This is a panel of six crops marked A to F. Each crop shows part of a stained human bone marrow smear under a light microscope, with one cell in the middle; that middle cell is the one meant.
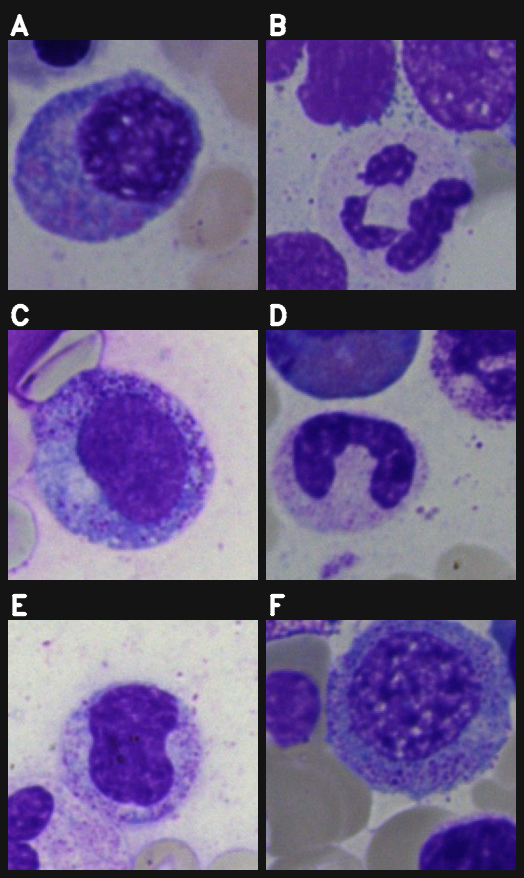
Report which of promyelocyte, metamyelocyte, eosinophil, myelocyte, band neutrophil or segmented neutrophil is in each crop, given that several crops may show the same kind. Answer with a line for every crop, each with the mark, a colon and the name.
A: promyelocyte
B: segmented neutrophil
C: myelocyte
D: band neutrophil
E: metamyelocyte
F: myelocyte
